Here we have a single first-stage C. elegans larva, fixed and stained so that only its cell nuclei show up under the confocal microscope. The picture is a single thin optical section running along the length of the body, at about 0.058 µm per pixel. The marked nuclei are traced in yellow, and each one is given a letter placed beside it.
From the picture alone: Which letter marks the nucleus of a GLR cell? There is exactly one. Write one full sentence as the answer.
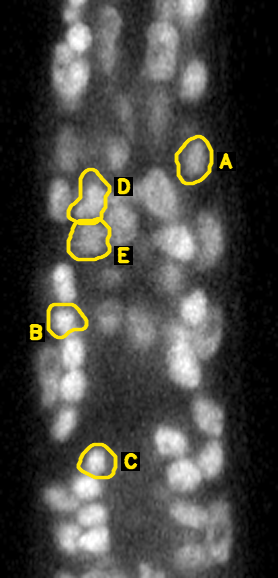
The nucleus of a GLR cell is C.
